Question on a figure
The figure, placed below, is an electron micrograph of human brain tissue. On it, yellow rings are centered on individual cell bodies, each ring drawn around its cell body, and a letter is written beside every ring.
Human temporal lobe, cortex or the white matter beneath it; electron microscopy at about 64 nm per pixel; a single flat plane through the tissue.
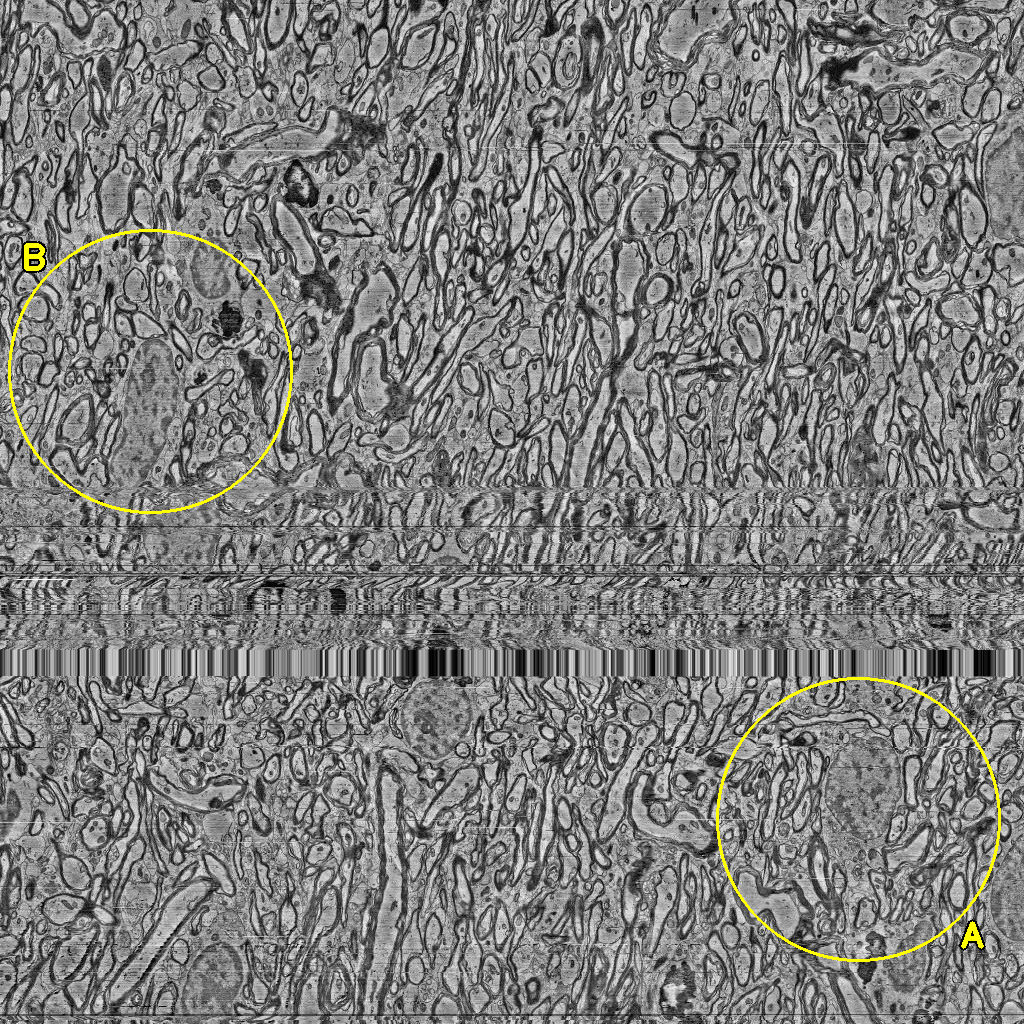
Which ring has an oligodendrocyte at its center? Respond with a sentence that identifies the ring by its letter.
The ring marked A has it at its center.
